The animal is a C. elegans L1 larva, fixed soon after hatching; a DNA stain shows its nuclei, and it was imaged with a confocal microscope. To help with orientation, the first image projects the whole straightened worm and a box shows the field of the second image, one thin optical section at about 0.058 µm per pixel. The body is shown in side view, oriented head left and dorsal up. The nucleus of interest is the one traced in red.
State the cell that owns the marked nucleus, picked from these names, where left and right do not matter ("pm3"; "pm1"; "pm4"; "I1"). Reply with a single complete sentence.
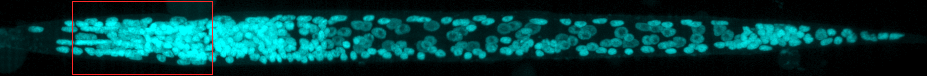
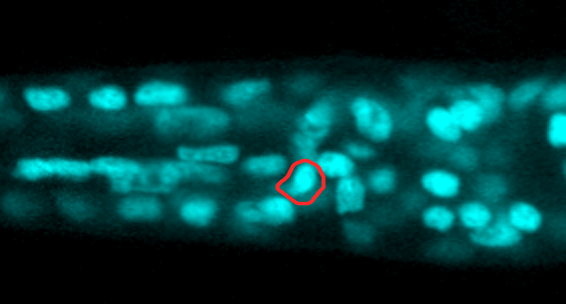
The marked nucleus is that of pm1, a pharyngeal muscle cell.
